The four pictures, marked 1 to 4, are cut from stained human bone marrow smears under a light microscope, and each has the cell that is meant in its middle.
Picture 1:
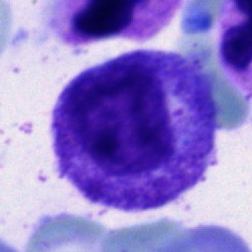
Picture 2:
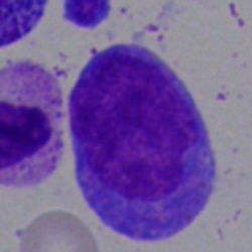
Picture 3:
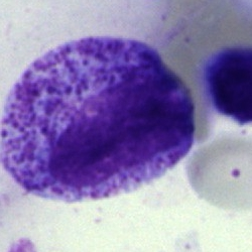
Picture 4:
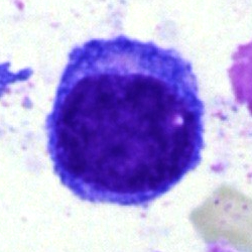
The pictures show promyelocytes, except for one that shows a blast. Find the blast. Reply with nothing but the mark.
4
